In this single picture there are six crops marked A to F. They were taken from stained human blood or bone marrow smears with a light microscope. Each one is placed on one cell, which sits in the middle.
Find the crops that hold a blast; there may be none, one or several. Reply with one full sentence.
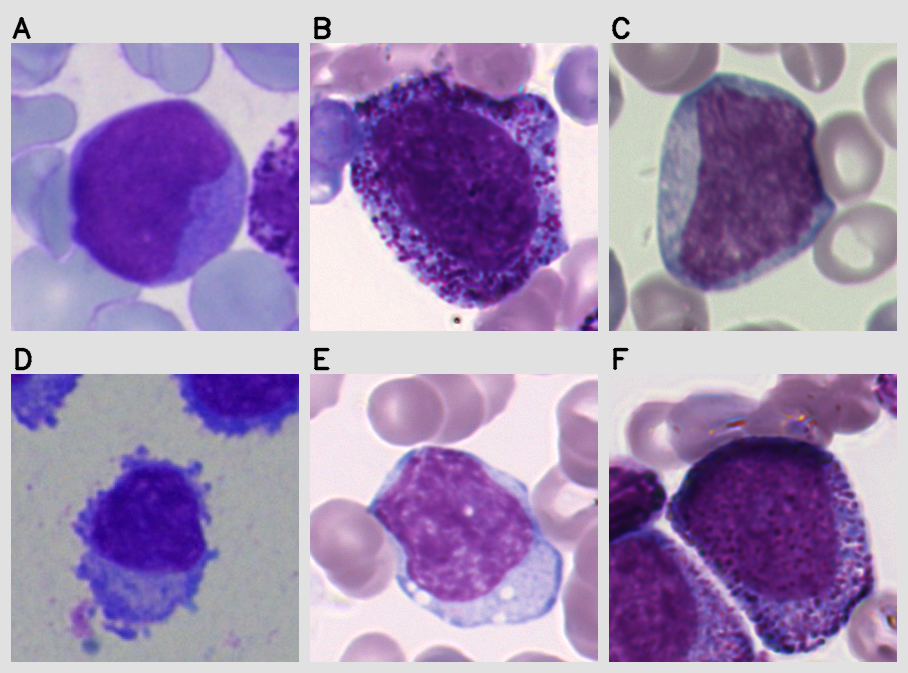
In the centres of crops A and E lie blasts.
